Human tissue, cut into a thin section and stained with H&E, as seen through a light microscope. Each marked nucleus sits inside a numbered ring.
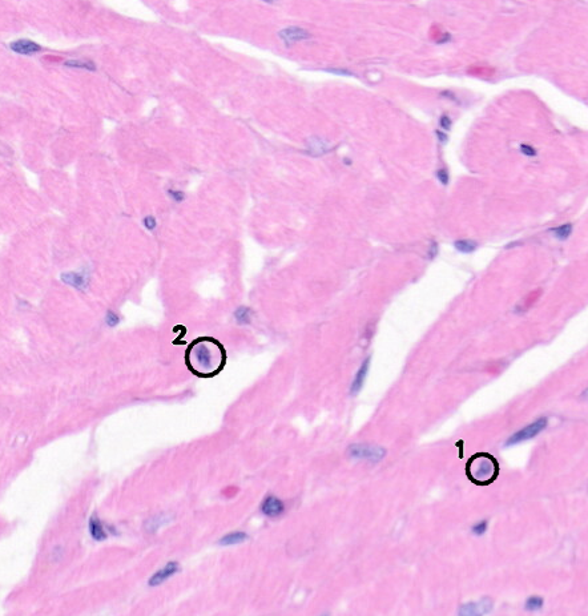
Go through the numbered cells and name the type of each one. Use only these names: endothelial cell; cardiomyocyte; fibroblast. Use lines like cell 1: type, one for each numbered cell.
cell 1: fibroblast
cell 2: endothelial cell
